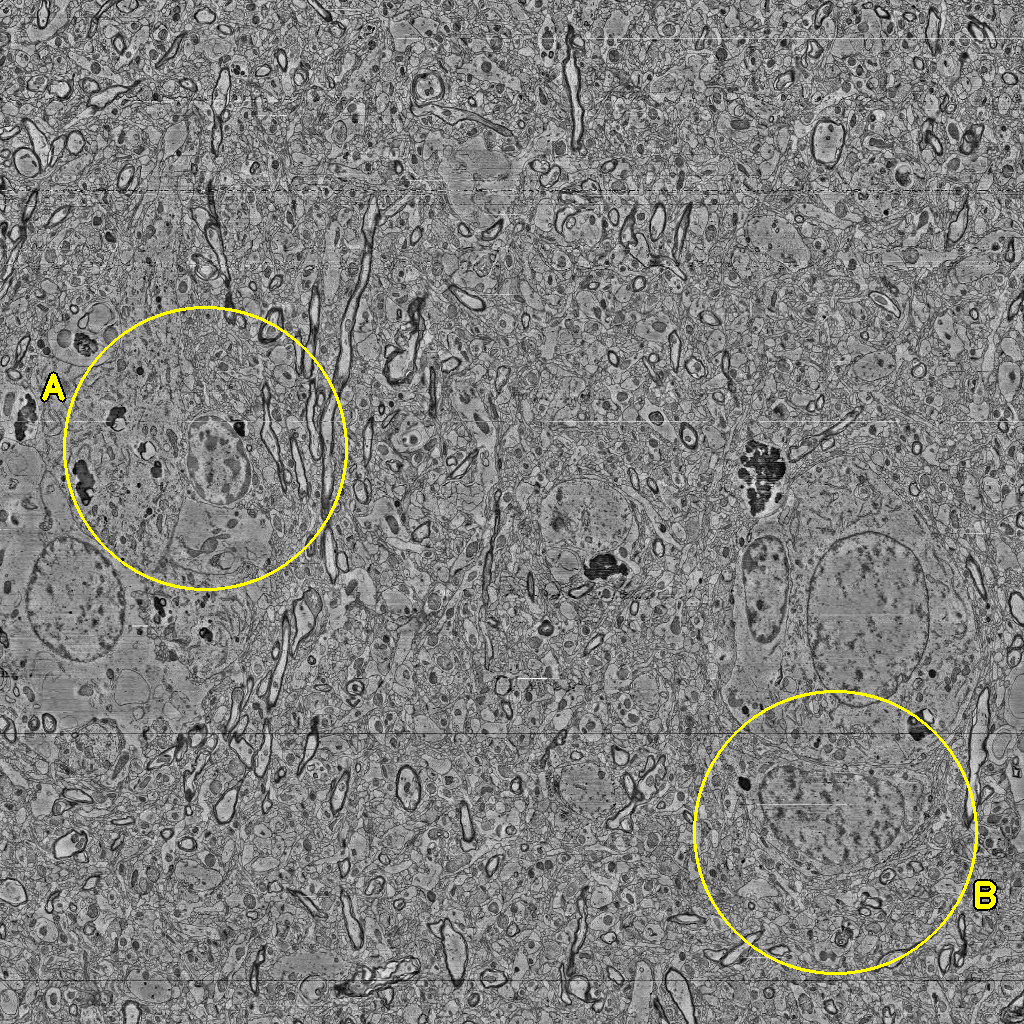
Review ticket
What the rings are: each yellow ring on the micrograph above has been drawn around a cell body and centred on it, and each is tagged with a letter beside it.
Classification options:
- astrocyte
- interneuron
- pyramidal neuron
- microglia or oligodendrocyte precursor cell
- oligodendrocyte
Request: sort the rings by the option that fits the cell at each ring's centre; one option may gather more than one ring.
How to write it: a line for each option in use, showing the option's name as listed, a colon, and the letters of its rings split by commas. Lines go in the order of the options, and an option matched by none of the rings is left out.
interneuron: B
microglia or oligodendrocyte precursor cell: A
